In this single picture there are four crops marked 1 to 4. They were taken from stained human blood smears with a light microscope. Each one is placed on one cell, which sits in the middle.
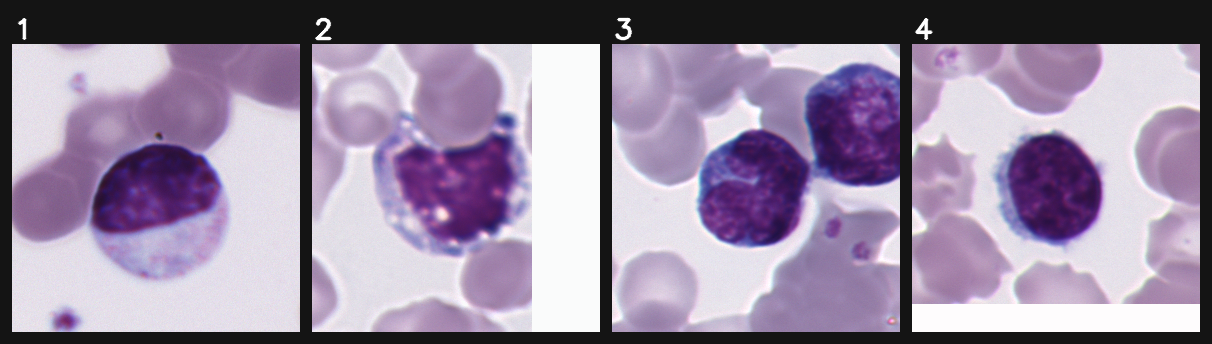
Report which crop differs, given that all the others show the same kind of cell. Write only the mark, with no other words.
4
